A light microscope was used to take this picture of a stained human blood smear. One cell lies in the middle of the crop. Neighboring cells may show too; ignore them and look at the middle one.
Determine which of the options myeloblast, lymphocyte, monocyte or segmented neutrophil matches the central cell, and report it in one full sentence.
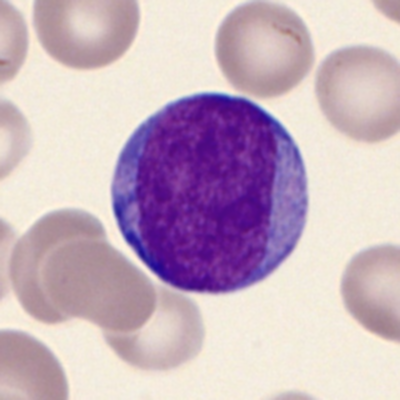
The cell around which this crop is centred is a myeloblast.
